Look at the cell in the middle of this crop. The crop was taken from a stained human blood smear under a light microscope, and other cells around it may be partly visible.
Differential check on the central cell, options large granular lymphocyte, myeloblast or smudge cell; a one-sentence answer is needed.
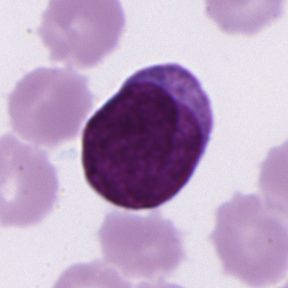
By classification, the middle cell of this crop is a myeloblast.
